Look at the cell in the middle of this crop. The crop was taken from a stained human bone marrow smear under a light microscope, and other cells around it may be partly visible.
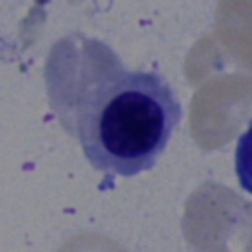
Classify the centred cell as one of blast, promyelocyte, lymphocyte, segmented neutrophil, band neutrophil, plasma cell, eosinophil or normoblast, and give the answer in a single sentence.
The cell the crop is centered on is a normoblast.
